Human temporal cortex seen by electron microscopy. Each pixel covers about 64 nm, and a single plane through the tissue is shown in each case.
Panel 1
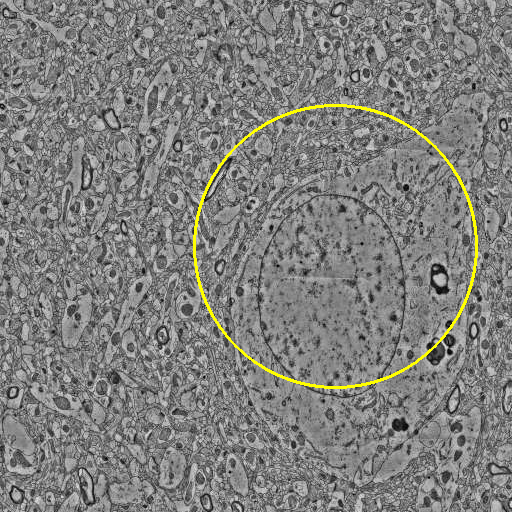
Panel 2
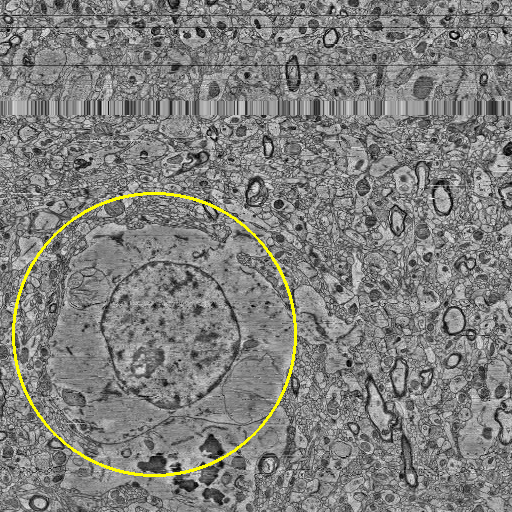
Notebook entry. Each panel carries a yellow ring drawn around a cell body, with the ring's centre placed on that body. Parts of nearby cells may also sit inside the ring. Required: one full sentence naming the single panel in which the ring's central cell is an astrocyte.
Panel 2 is the single one with the sought cell at its ring's centre.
